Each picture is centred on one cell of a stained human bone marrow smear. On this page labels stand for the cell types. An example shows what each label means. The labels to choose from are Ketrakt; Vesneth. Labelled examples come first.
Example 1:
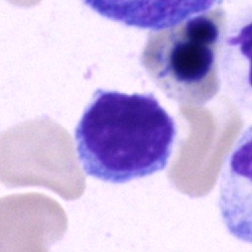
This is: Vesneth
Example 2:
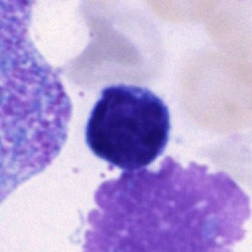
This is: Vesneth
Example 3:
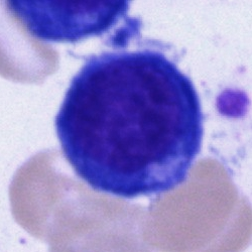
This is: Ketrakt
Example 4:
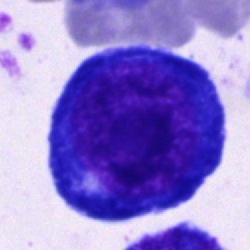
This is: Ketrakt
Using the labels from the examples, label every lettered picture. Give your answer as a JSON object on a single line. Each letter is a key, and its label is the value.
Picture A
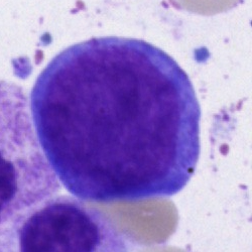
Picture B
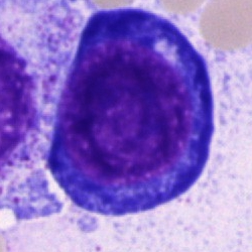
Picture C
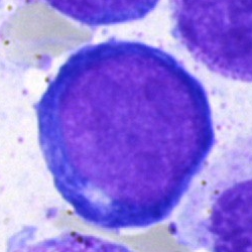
{"A": "Ketrakt", "B": "Ketrakt", "C": "Ketrakt"}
